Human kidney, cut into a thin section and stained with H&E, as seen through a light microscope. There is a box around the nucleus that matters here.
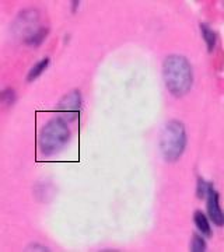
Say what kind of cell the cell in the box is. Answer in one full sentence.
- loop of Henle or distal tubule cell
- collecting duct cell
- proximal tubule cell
The cell type of the cell in the box is that of a loop of Henle or distal tubule cell.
